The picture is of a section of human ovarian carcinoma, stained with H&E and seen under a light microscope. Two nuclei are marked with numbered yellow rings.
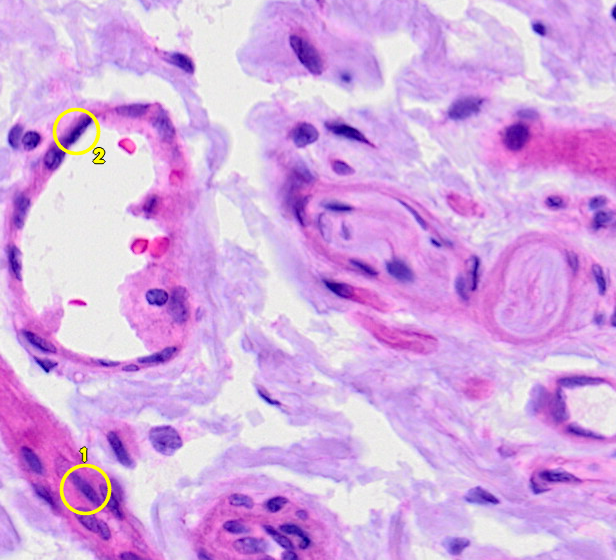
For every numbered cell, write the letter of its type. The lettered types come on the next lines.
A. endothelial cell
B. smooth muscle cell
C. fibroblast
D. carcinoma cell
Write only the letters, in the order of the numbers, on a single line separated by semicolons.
B; A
